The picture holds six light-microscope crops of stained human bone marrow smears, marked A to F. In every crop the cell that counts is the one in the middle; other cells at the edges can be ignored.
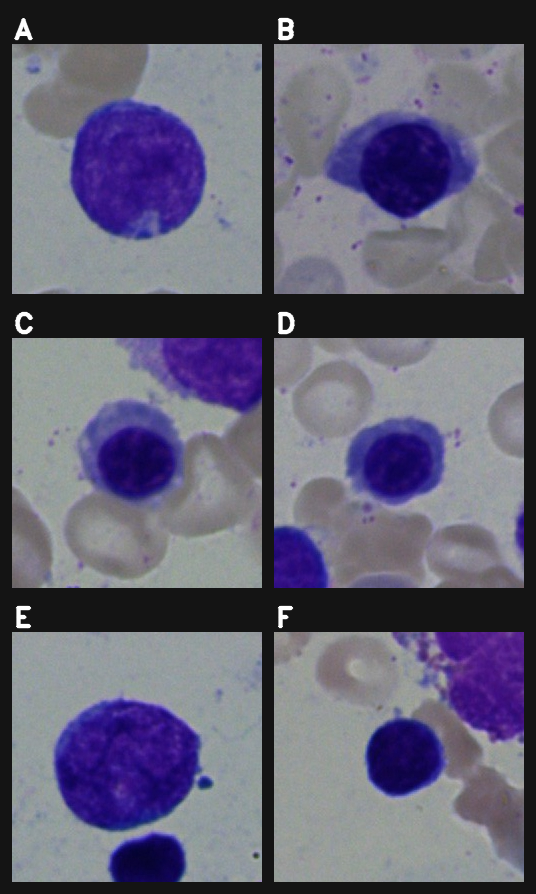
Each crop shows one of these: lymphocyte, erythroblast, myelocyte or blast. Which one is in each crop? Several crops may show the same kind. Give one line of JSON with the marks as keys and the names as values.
{"A": "blast", "B": "erythroblast", "C": "erythroblast", "D": "erythroblast", "E": "blast", "F": "lymphocyte"}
